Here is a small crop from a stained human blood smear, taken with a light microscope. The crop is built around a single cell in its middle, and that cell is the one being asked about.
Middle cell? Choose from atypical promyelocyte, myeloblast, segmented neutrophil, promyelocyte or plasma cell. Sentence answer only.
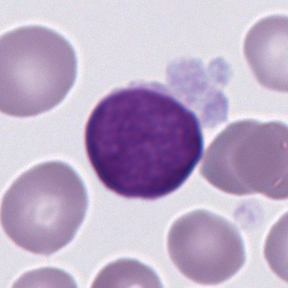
The middle position in this crop is taken by a myeloblast.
